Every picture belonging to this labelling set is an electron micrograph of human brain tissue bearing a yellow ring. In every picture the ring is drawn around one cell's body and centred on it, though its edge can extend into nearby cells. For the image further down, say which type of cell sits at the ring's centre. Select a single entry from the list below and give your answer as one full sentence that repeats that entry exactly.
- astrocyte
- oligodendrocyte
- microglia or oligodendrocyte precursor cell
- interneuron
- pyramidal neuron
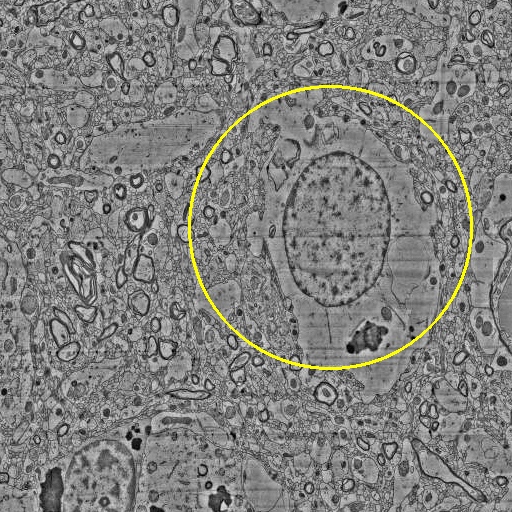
In the picture, an astrocyte is the cell at the centre of the yellow ring.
